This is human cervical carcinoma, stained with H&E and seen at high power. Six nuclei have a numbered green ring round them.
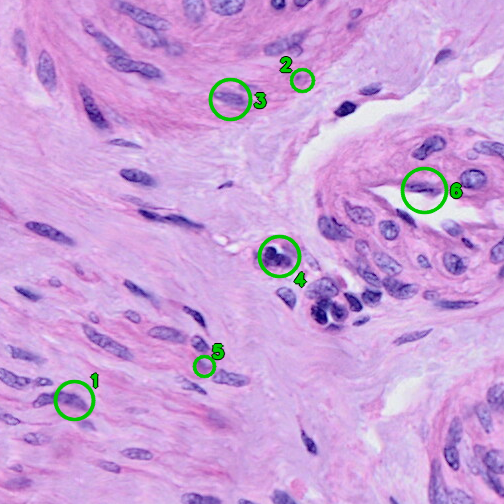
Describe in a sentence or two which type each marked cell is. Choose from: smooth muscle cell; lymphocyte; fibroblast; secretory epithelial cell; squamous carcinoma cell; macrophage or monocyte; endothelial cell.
Cells 1, 2, 3 and 5 are smooth muscle cells. Cells 4 and 6 are endothelial cells.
